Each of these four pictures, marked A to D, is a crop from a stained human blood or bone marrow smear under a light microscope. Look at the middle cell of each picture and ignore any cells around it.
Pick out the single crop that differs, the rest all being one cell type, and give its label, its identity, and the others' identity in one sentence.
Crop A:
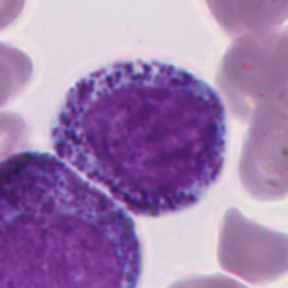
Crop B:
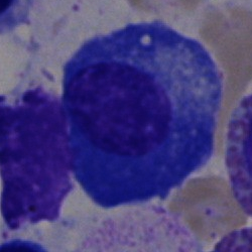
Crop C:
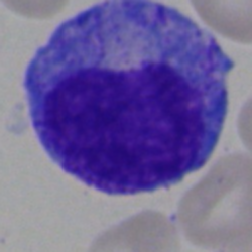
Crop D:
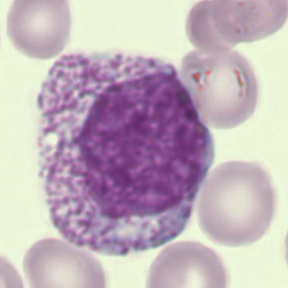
The remaining crops are all promyelocytes, so crop B, being a plasma cell, is the exception.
